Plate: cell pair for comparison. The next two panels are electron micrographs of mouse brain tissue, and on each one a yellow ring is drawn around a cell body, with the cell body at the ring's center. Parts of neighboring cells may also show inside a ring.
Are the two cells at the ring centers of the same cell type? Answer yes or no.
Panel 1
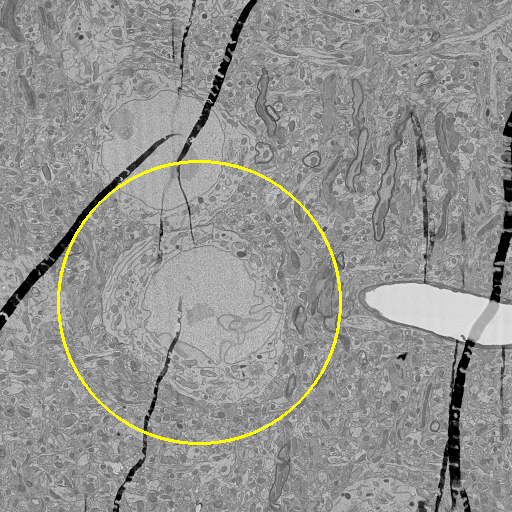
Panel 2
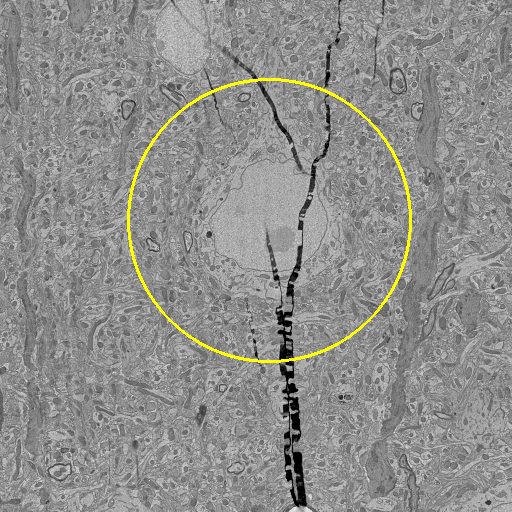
no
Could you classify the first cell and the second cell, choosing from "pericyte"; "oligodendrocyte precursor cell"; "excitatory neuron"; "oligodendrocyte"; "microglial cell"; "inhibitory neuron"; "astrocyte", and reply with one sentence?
The second cell is an excitatory neuron, while the first is an inhibitory neuron.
